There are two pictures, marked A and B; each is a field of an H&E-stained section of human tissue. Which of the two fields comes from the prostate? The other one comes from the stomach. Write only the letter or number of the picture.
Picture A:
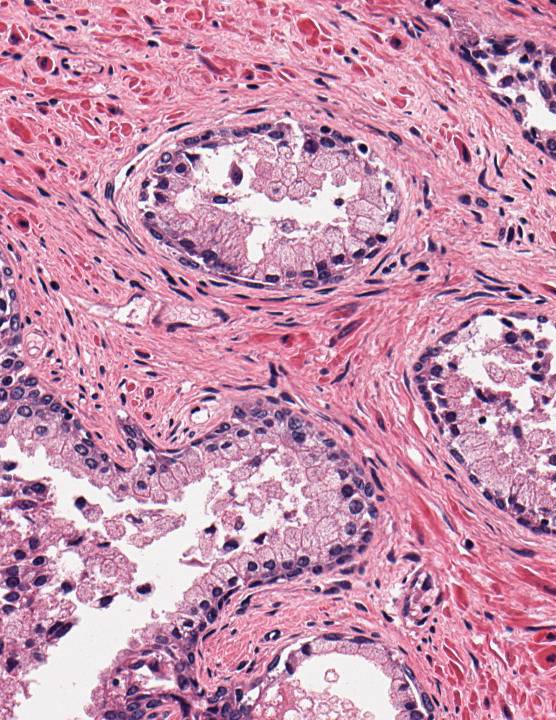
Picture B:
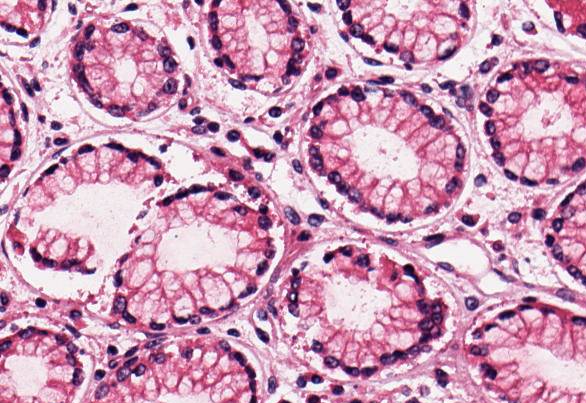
A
